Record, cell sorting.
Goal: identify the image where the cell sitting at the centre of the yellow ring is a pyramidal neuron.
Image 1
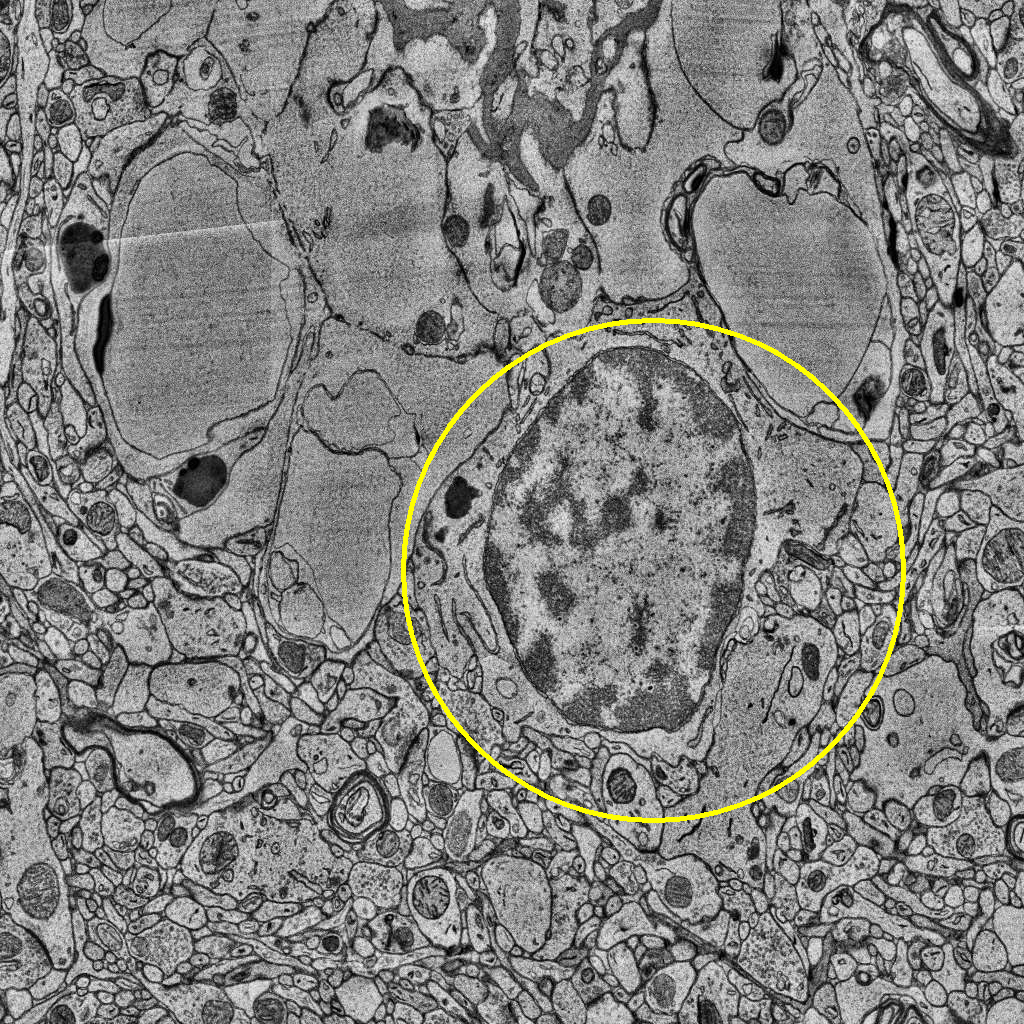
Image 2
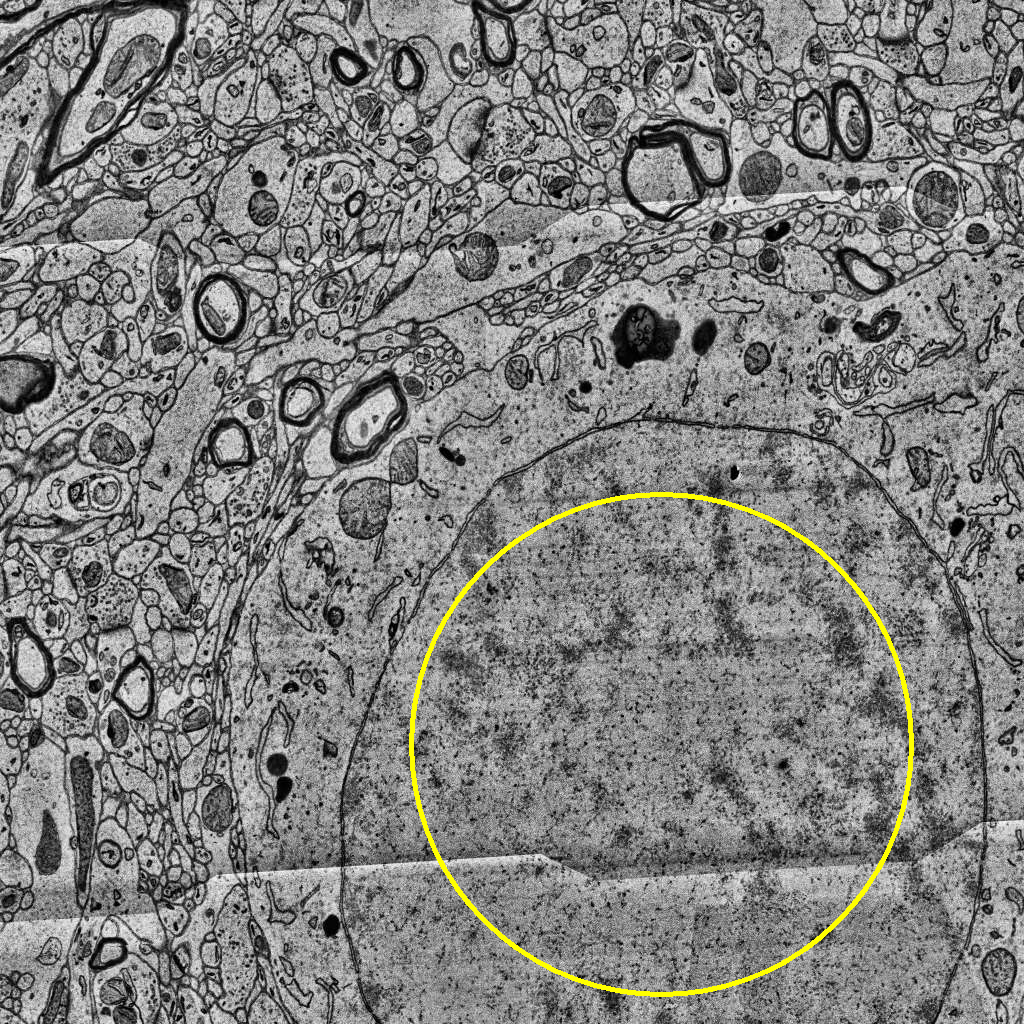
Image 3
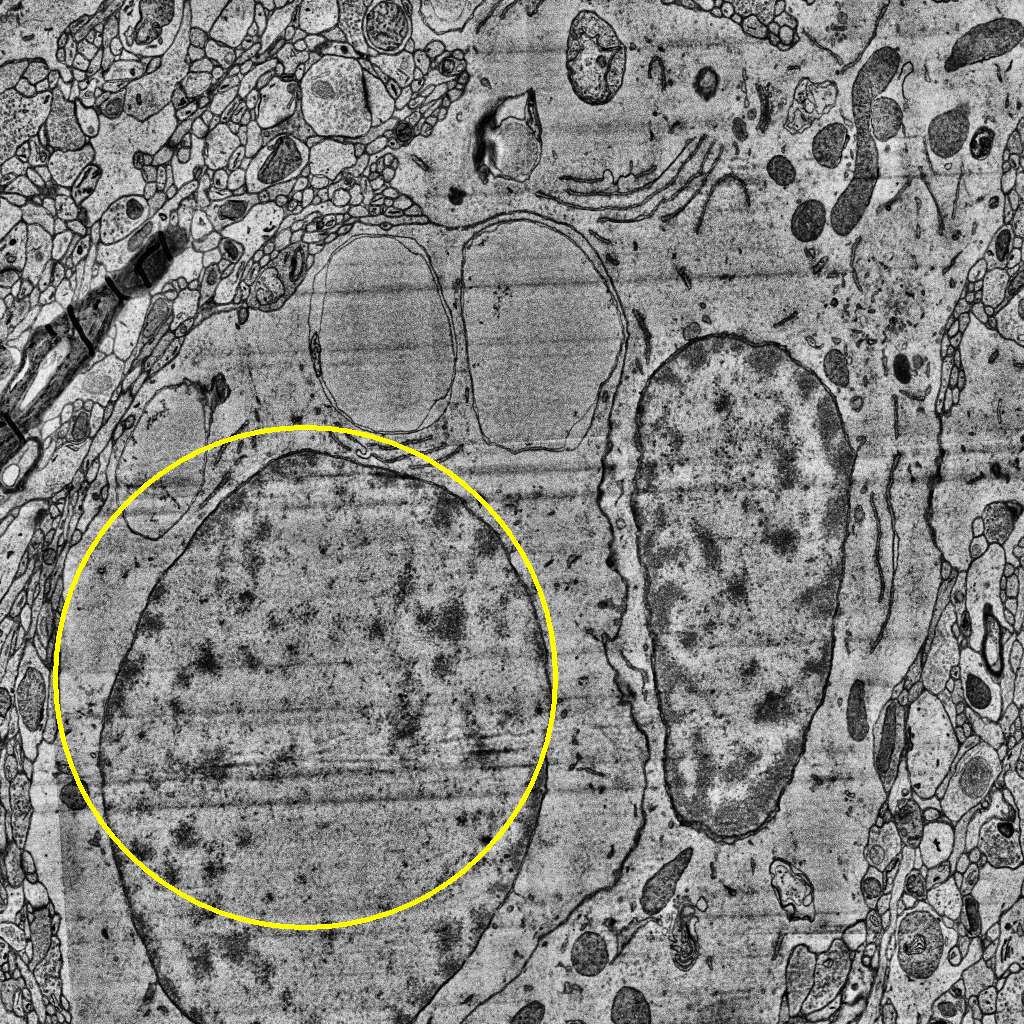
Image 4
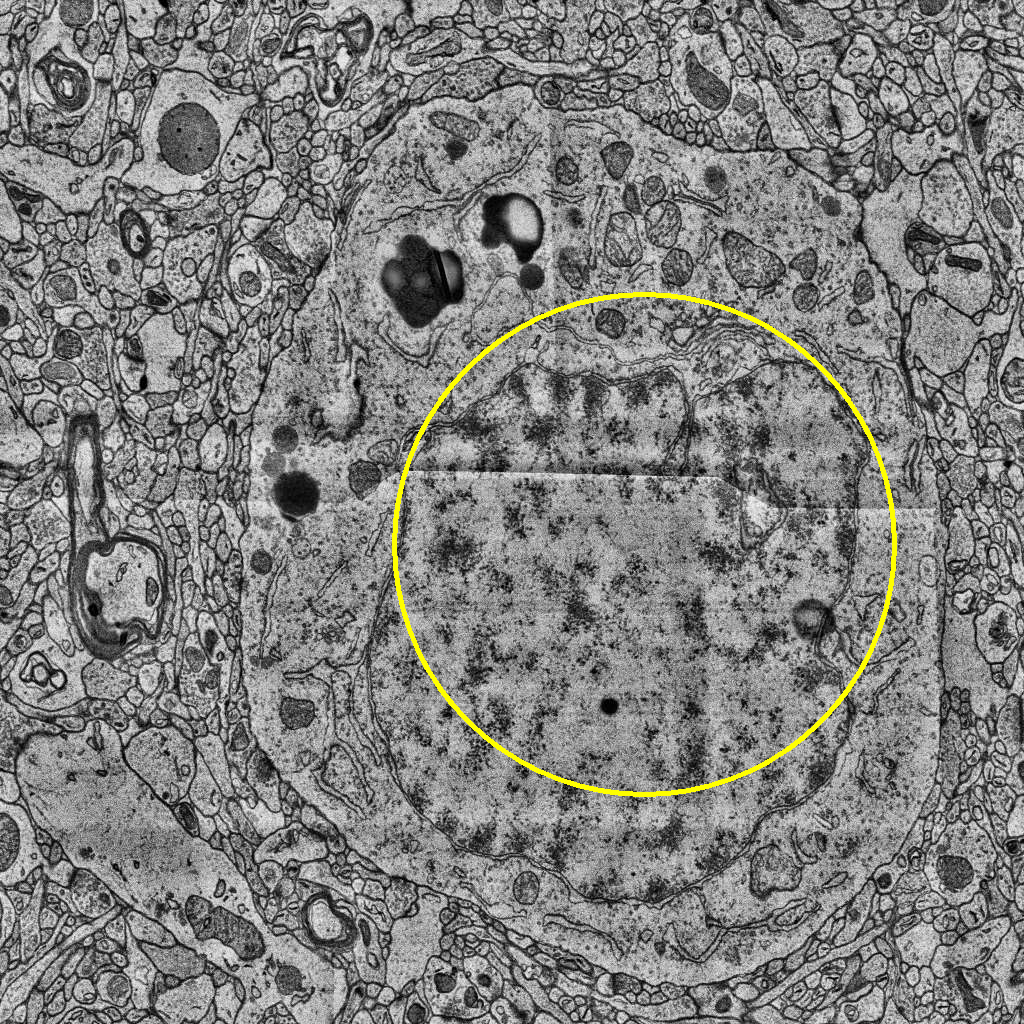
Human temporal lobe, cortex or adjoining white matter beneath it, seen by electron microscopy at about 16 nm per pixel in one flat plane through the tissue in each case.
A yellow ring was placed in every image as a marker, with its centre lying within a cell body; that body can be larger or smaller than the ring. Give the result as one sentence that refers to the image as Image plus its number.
Image 2 shows the requested cell sitting right at the centre of its ring.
